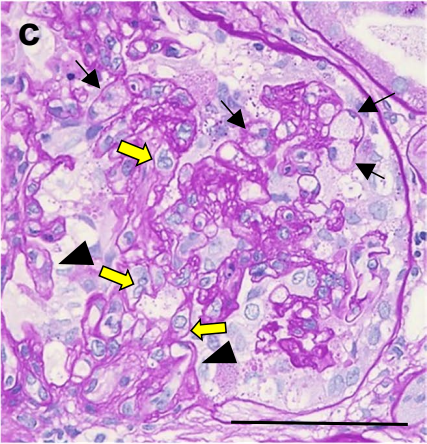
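This is a glomerulus in which the capillary tuft shows damage to its lining cells. Several capillary loops contain rounded foam cells with pale, finely vacuolated cytoplasm, and endothelial cells are swollen and plump, narrowing the lumina. The magenta basement membranes of some loops appear split into double contours. Pale enlarged epithelial cells surround the tuft inside the Bowman's capsule.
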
